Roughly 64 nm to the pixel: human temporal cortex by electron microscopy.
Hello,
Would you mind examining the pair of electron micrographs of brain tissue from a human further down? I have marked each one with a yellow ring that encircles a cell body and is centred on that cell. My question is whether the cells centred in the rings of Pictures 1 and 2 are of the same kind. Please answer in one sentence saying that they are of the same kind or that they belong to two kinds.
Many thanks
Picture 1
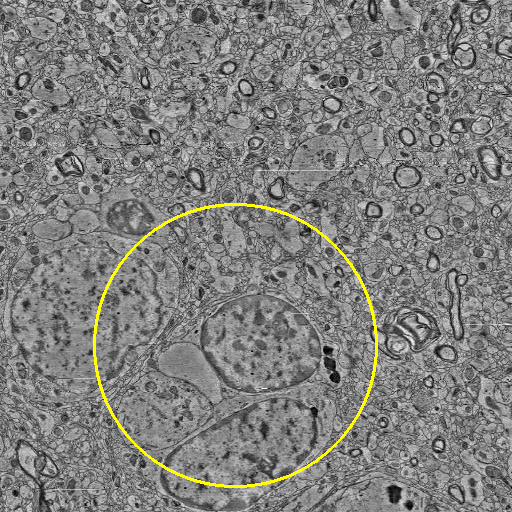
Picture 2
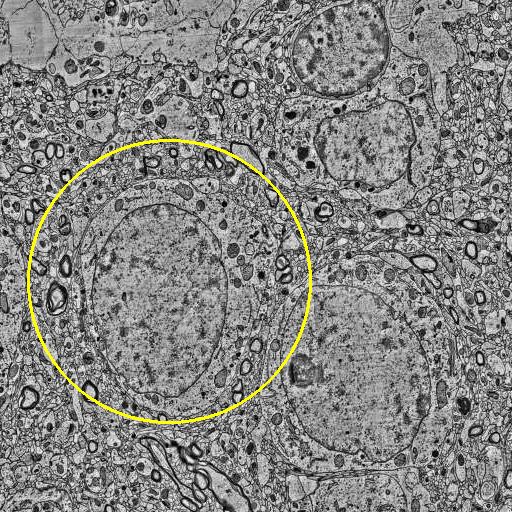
In Pictures 1 and 2, the cells at the heart of the rings belong to two kinds.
